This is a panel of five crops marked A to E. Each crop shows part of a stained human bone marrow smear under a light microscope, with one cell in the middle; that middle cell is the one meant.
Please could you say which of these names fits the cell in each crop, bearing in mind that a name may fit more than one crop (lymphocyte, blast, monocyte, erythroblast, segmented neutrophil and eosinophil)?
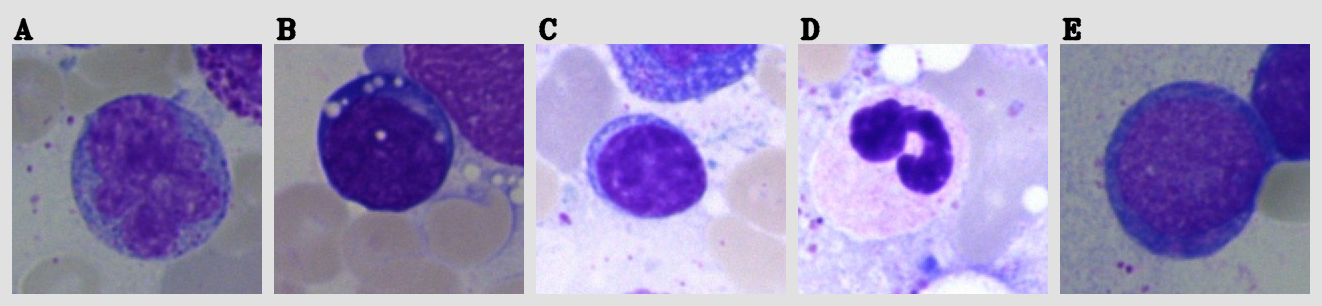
A: monocyte
B: blast
C: lymphocyte
D: segmented neutrophil
E: blast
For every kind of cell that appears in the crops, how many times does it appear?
blast: 2
monocyte: 1
lymphocyte: 1
segmented neutrophil: 1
